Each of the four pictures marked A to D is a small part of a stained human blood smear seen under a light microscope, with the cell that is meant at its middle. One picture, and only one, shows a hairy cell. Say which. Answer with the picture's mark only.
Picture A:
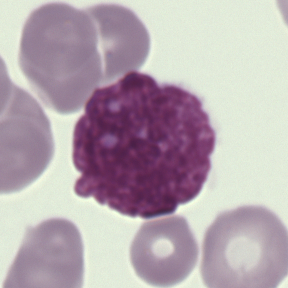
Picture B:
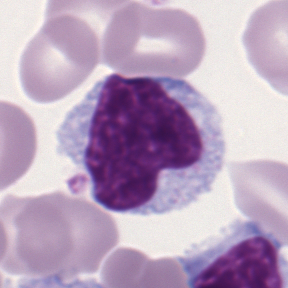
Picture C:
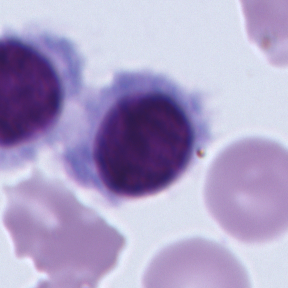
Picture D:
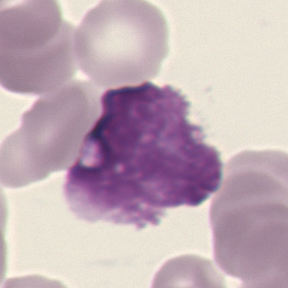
C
